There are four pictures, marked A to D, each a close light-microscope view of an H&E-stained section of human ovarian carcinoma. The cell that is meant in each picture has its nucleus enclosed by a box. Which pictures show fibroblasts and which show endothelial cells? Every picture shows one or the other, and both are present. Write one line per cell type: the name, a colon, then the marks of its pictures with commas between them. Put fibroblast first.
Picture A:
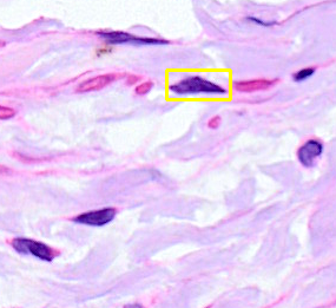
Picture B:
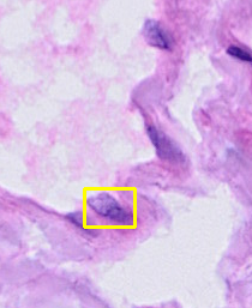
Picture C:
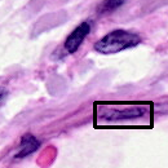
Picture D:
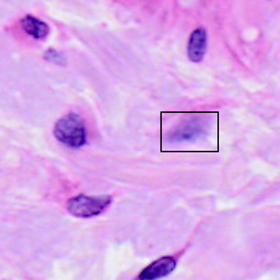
fibroblast: A, D
endothelial cell: B, C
